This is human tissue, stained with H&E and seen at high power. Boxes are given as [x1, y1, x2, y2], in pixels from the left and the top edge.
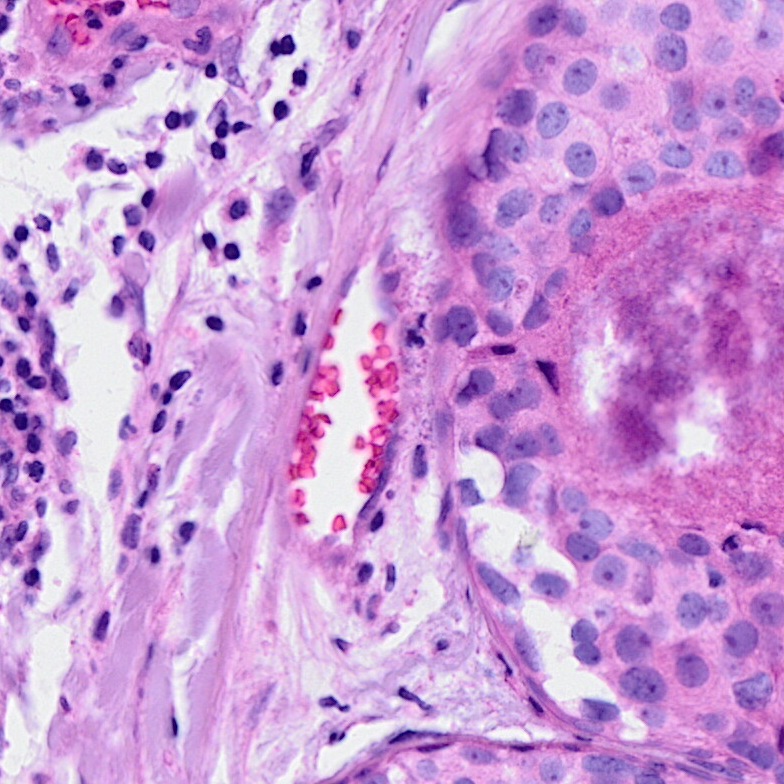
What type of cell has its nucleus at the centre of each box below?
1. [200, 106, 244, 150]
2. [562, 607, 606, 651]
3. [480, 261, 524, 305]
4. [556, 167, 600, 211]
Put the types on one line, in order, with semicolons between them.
lymphocyte; carcinoma cell; carcinoma cell; carcinoma cell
